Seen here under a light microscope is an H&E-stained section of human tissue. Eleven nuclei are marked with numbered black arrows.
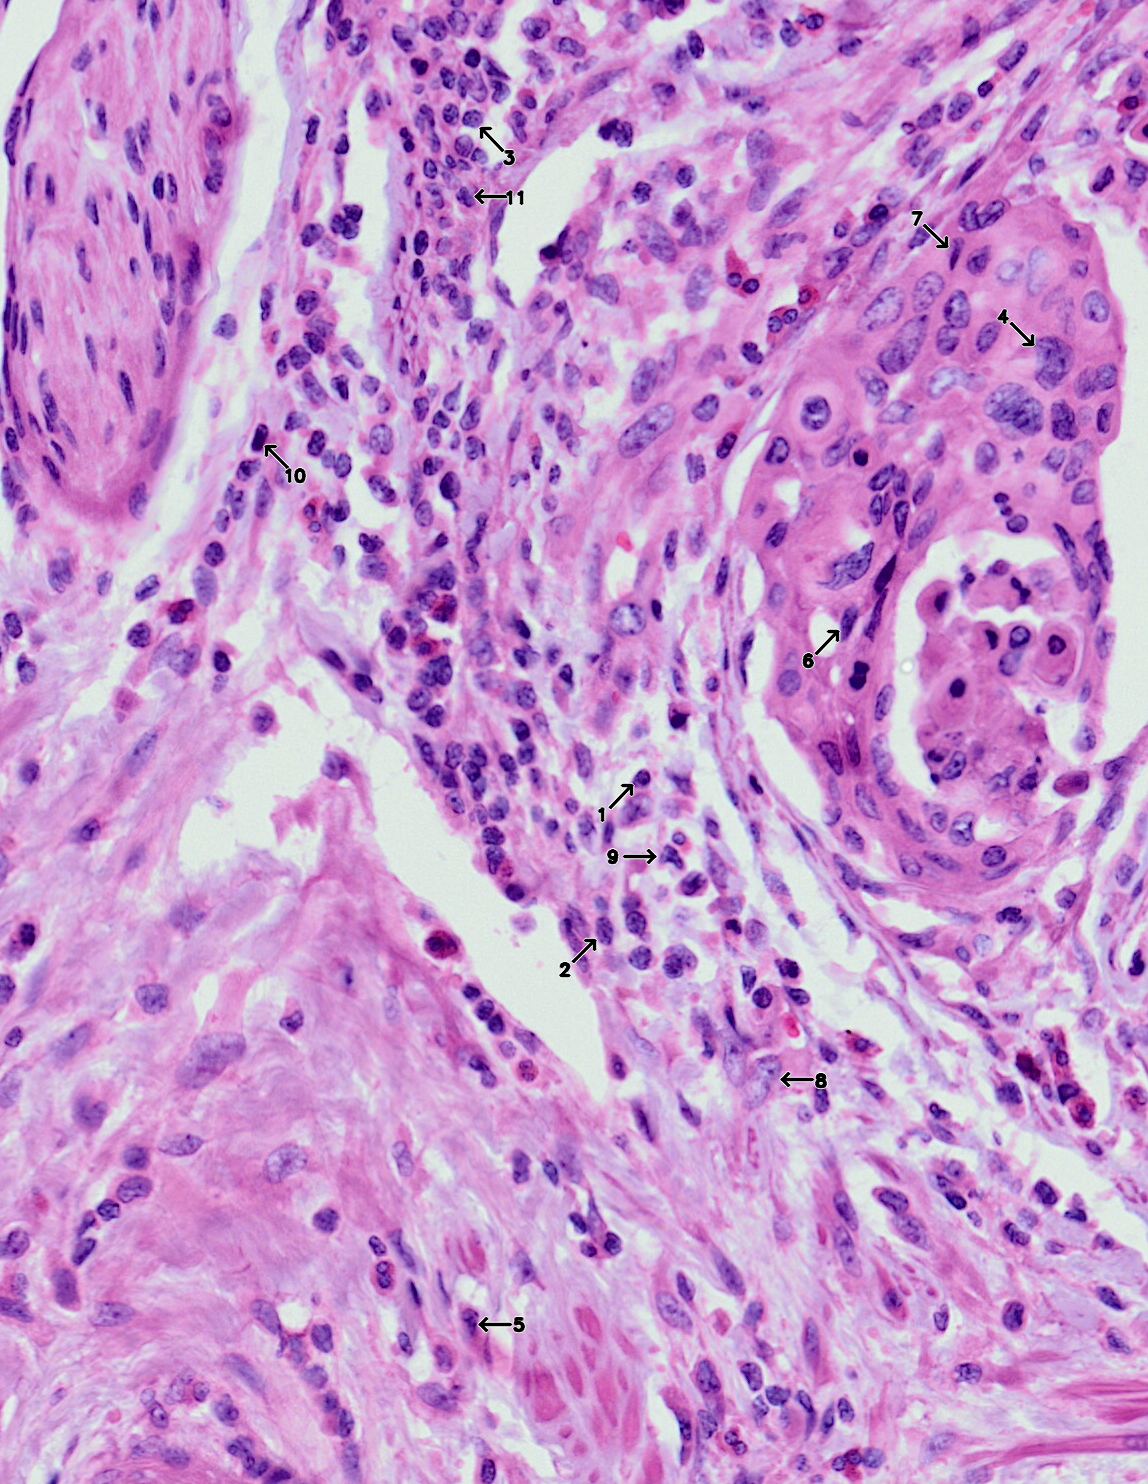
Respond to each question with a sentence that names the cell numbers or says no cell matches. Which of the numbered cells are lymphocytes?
The cells that bear the numbers 1, 2, 3, 9, 10 and 11 are lymphocytes.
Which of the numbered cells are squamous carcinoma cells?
The numbers 4, 6 and 7 mark cells that are squamous carcinoma cells.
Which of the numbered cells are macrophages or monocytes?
The numbered cell that is a macrophage or monocyte is cell 5, and it is the only one.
